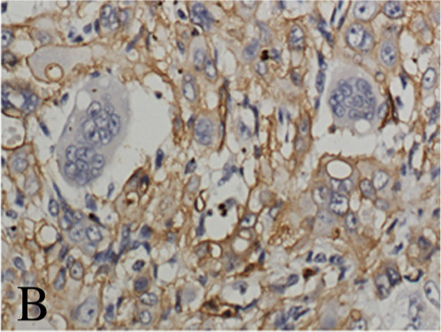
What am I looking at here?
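This tumour consists of plump spindle and polygonal cells with oval vesicular nuclei and conspicuous nucleoli, separated by many small clear vacuole-like spaces. The spindle cells carry brown staining along their membranes and in their cytoplasm, producing a lace-like brown network. At upper left a large multinucleated giant cell with a cluster of nuclei and pale grey cytoplasm lies in a clear space and is not stained brown. Nuclei throughout are counterstained blue.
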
